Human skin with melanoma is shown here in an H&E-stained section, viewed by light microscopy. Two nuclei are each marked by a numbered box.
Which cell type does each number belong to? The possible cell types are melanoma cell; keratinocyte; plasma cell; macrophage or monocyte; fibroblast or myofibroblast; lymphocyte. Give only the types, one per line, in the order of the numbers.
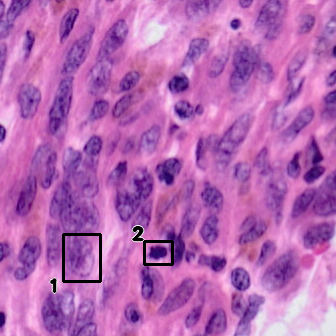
melanoma cell
lymphocyte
